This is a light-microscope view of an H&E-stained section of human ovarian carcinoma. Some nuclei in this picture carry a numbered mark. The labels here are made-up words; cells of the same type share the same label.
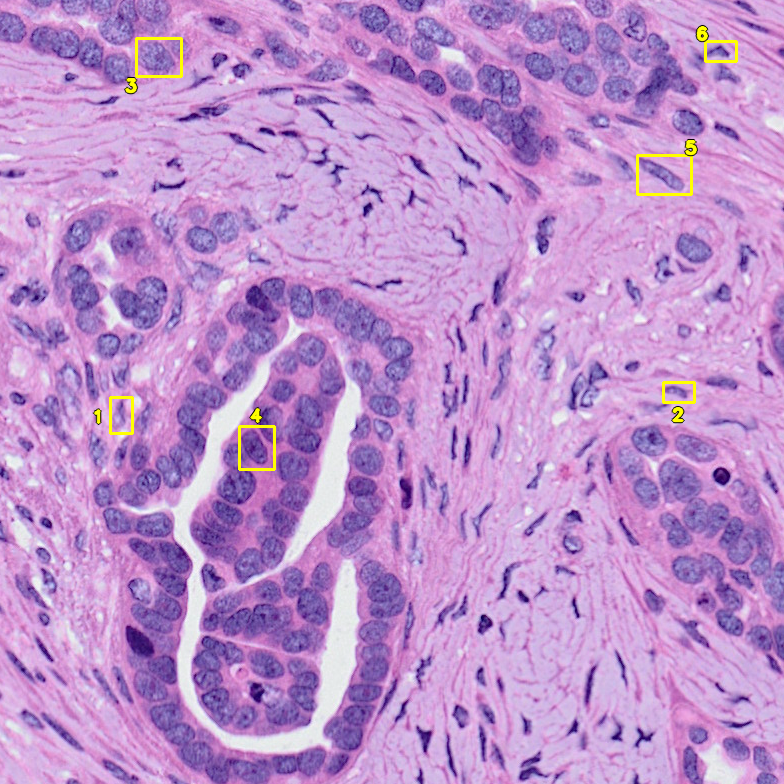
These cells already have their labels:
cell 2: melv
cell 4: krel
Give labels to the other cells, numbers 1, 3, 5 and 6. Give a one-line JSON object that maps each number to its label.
{"1": "melv", "3": "krel", "5": "melv", "6": "melv"}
